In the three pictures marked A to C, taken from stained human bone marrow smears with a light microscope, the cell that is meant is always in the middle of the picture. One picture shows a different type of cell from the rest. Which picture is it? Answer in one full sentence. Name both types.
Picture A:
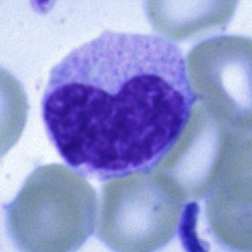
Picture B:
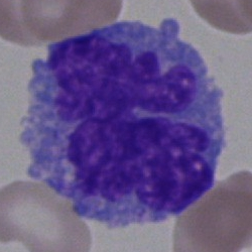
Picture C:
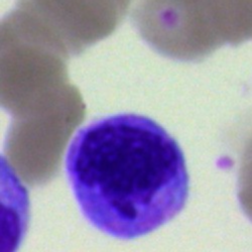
Unlike the rest, which show monocytes, picture A shows a metamyelocyte.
